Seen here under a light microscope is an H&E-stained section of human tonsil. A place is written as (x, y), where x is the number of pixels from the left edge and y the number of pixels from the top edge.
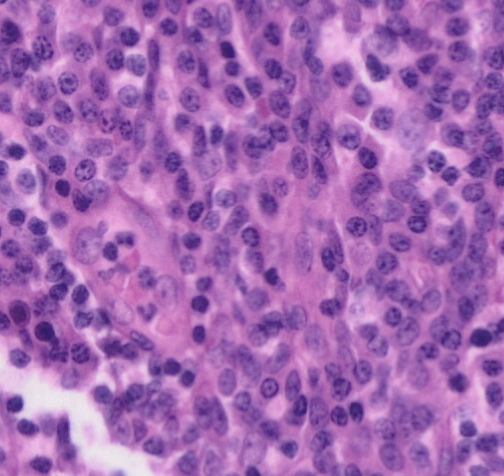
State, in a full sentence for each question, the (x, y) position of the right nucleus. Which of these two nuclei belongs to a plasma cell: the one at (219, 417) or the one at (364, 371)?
The nucleus positioned at (364, 371) forms part of a plasma cell.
